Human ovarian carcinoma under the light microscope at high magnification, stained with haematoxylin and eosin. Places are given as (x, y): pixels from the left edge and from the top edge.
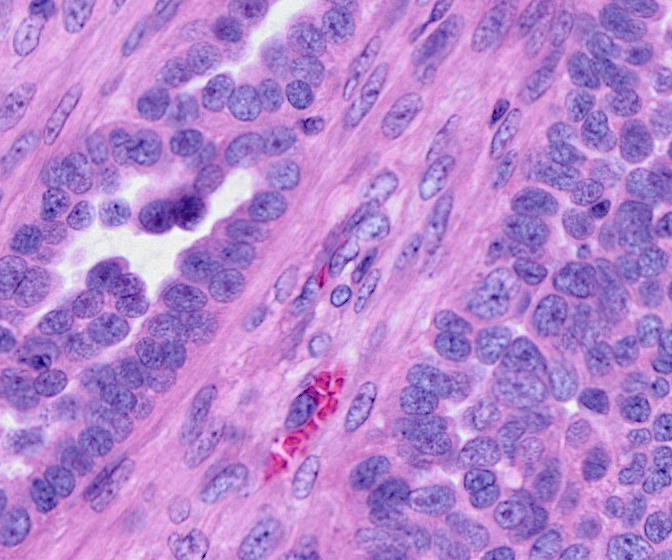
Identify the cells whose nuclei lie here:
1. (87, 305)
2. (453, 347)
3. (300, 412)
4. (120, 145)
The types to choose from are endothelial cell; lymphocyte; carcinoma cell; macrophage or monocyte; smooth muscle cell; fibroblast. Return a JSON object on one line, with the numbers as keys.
{"1": "carcinoma cell", "2": "carcinoma cell", "3": "endothelial cell", "4": "carcinoma cell"}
